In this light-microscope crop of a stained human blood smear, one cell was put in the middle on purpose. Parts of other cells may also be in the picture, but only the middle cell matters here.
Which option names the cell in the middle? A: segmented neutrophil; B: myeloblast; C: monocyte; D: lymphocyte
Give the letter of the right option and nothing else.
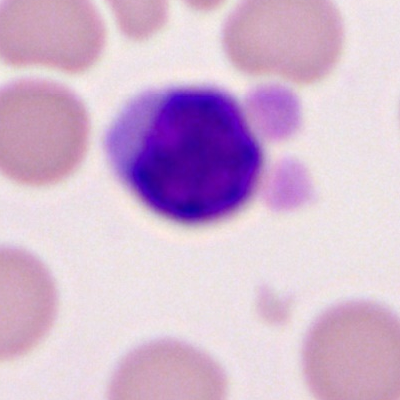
D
